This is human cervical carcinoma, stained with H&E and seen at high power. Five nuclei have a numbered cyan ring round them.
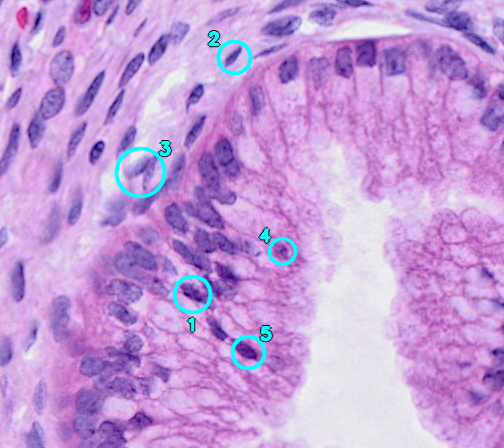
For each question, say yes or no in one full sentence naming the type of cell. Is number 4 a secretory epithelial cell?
Yes, the cell that has number 4 is a secretory epithelial cell.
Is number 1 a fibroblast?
No. Cell number 1 is a secretory epithelial cell, not a fibroblast.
